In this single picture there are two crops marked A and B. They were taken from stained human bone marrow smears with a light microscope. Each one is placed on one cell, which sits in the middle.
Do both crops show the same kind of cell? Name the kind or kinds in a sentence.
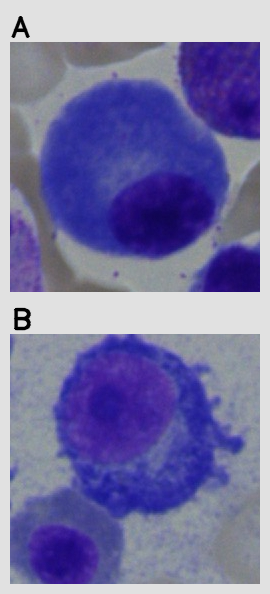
Yes, at the centre of both crops are plasma cells.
